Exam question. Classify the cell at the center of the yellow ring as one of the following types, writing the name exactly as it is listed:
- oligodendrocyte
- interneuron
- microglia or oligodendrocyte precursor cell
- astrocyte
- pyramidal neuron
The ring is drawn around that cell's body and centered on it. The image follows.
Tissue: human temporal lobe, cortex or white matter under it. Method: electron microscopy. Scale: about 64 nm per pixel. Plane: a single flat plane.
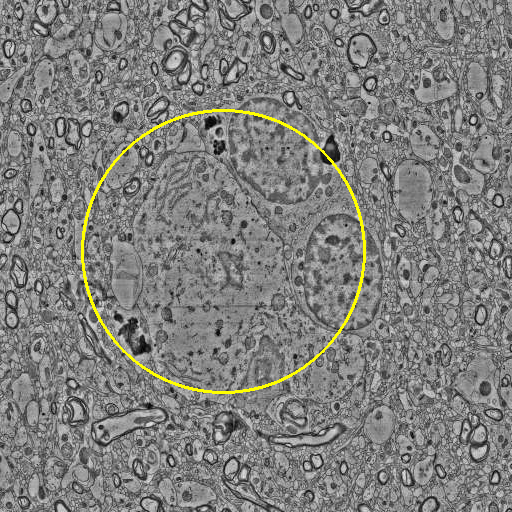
pyramidal neuron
